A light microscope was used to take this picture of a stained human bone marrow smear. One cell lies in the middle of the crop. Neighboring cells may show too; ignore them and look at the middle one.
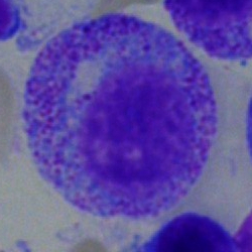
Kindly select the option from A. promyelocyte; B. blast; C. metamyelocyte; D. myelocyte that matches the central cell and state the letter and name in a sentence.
The cell placed in the middle is a promyelocyte; option A is correct.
